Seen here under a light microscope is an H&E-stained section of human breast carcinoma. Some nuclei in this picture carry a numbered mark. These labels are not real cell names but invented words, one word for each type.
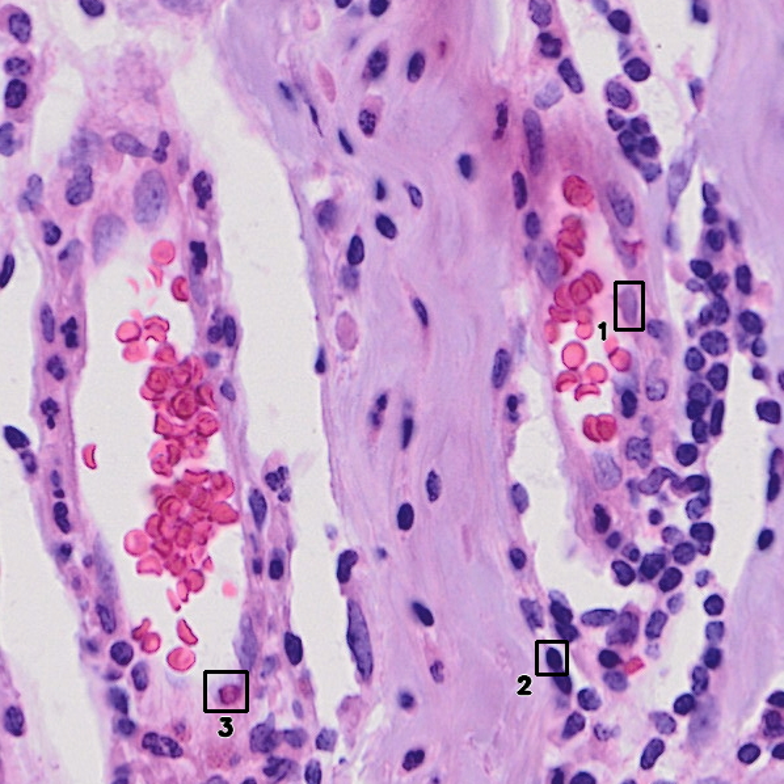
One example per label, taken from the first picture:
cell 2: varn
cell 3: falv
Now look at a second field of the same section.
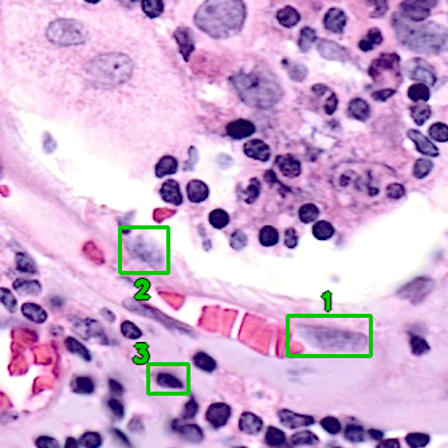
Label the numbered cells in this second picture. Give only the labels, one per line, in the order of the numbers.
falv
falv
varn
